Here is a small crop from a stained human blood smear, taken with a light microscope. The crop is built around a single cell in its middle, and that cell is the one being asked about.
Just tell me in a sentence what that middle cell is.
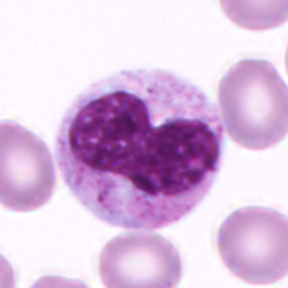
Centrally within this crop lies a metamyelocyte.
